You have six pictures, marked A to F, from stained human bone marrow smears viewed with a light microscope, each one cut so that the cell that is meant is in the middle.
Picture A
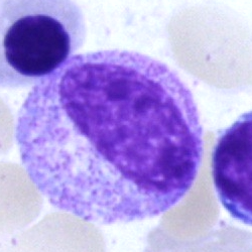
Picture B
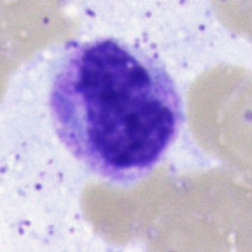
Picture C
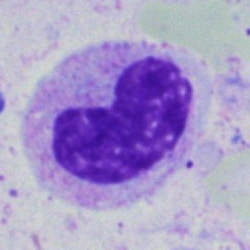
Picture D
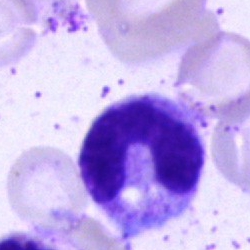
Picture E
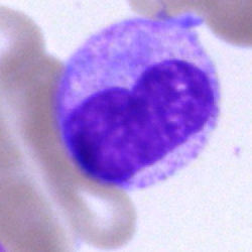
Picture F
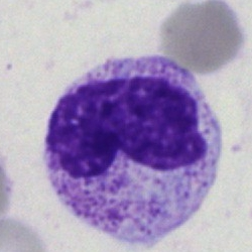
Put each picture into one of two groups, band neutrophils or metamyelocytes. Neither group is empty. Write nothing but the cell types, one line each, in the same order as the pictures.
metamyelocyte
metamyelocyte
metamyelocyte
band neutrophil
metamyelocyte
band neutrophil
